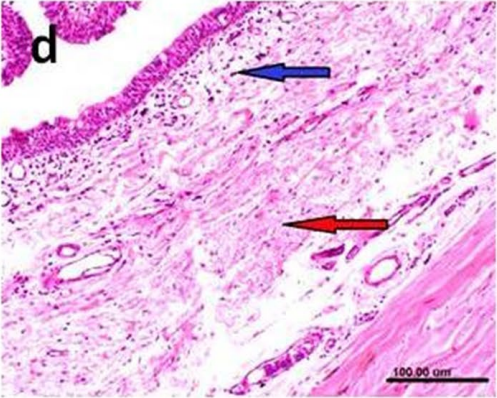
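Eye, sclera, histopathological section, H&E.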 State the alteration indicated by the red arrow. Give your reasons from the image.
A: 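The arrow points into pale, loose, wispy stroma with wide clear spaces between the fibres. This loose zone contrasts with the dense, solid pink collagen at the lower right.
Hence: edema.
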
